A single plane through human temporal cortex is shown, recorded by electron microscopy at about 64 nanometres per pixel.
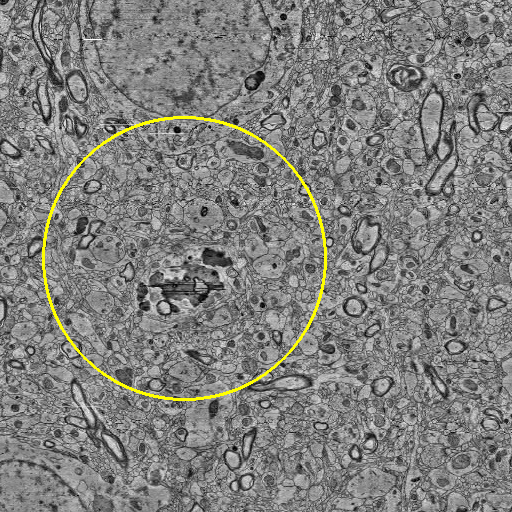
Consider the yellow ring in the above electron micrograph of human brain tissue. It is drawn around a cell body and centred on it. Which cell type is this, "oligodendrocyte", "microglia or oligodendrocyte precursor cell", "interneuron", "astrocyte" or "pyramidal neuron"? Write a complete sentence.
The cell in question is a microglial cell or oligodendrocyte precursor cell.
